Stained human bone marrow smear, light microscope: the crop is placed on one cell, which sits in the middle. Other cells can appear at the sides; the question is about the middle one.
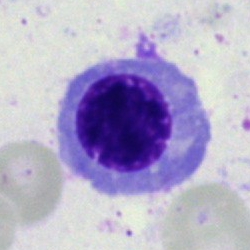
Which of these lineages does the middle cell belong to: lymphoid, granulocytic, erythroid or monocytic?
erythroid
